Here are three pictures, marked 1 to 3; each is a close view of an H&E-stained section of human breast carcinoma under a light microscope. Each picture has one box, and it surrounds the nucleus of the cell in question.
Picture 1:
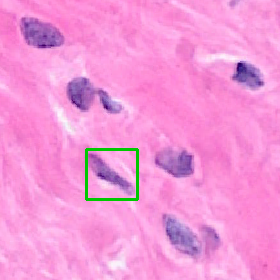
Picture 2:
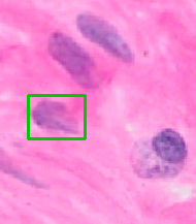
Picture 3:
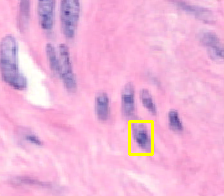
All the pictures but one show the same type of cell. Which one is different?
3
